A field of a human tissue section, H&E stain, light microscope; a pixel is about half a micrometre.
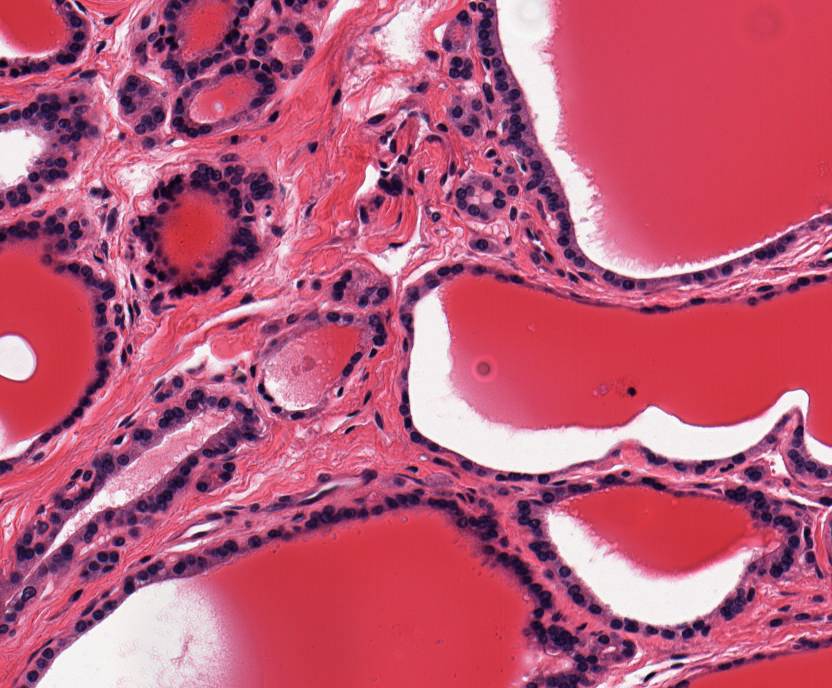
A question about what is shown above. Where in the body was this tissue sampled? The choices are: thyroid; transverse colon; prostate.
thyroid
